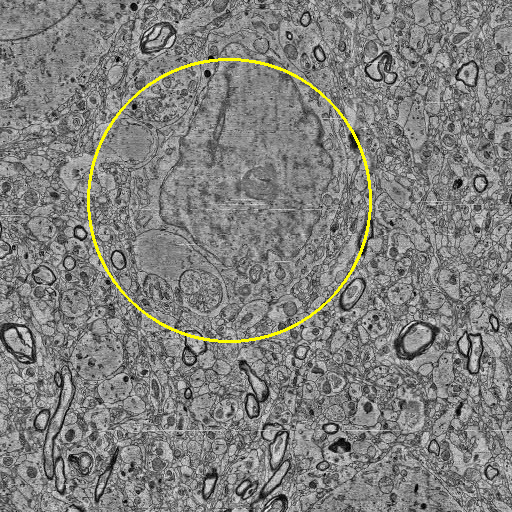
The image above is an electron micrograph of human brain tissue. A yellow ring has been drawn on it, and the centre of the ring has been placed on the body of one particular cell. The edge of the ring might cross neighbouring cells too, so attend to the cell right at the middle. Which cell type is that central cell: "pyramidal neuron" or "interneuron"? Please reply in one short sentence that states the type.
The central cell in the ring is an interneuron.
